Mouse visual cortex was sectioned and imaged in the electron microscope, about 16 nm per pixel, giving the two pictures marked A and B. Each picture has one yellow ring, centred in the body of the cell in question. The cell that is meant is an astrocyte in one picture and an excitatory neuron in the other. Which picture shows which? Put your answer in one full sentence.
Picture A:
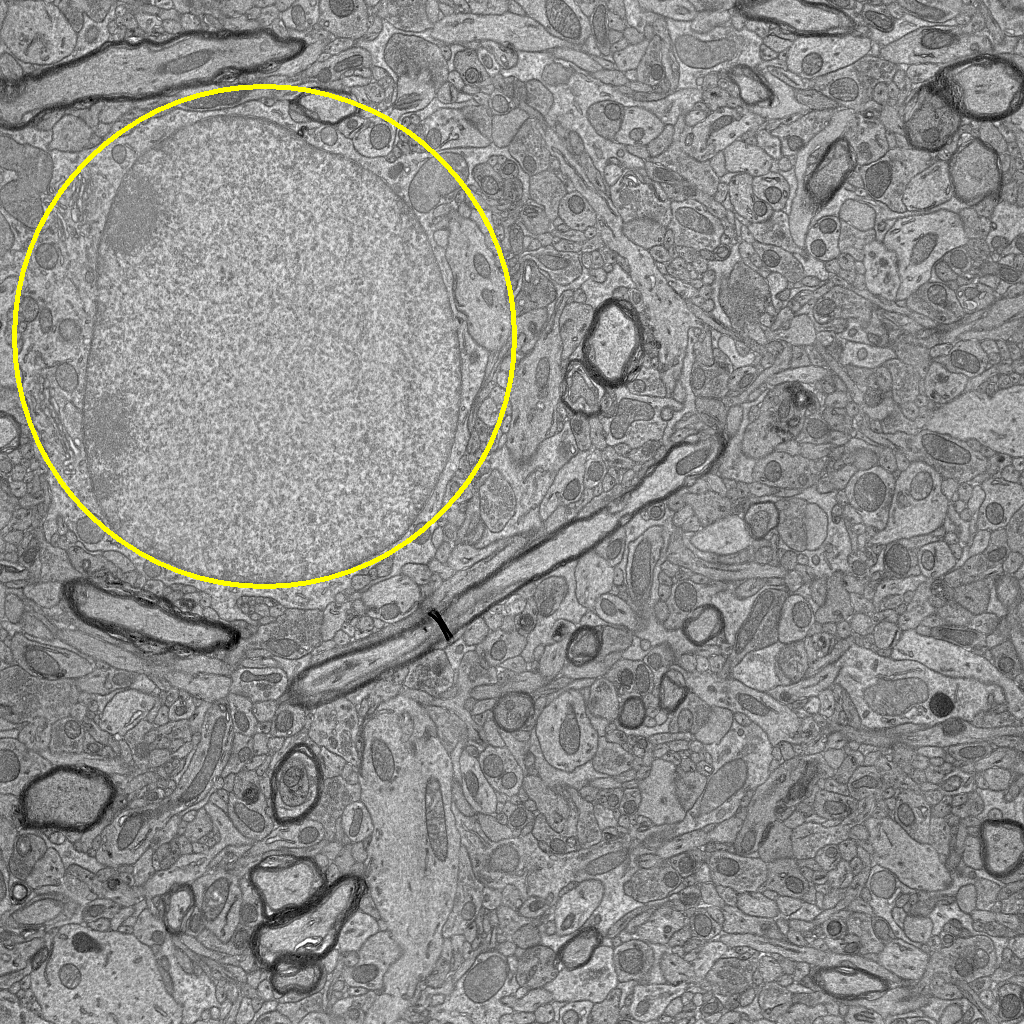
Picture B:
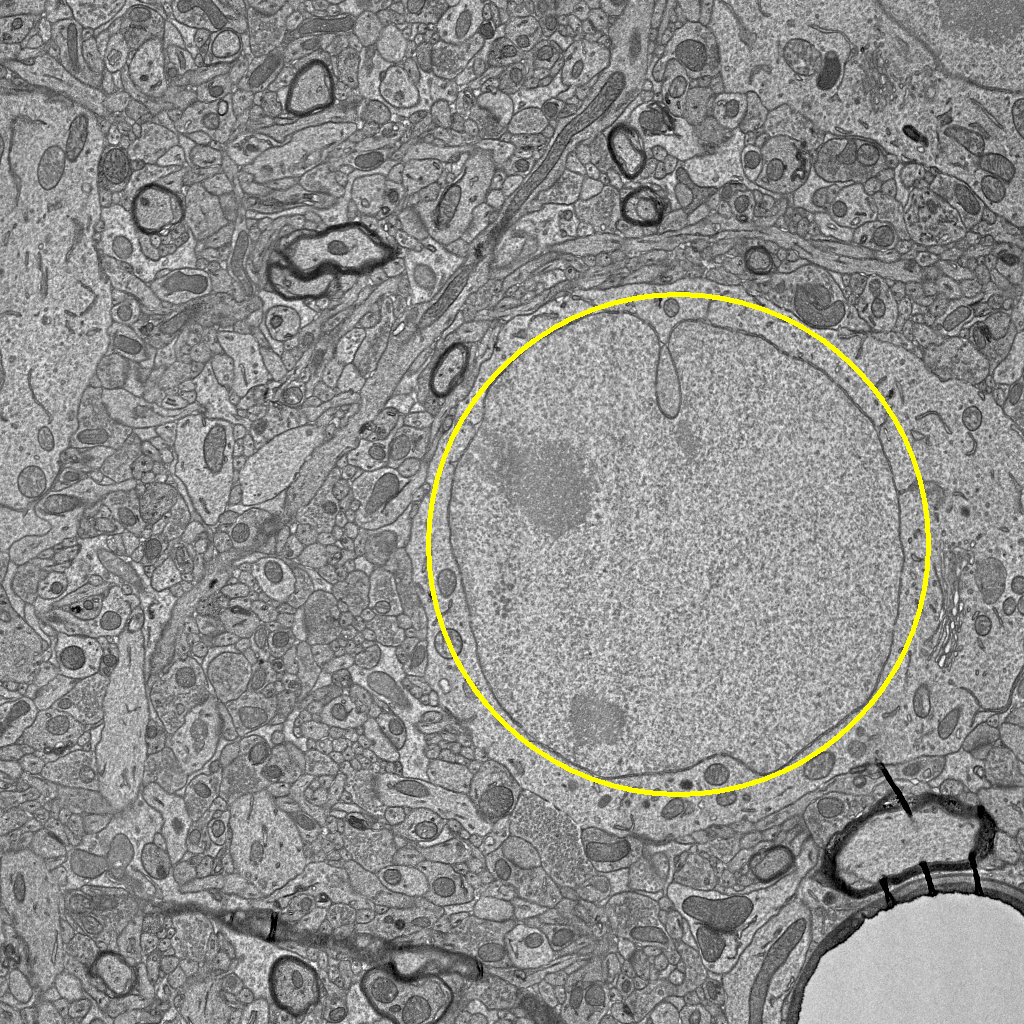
It is picture A that shows an astrocyte, and picture B that shows an excitatory neuron.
